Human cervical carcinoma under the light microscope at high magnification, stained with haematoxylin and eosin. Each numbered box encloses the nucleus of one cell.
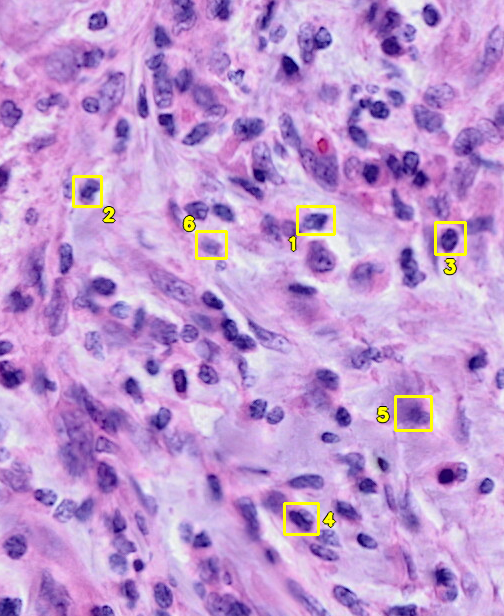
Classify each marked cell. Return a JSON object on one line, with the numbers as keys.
{"1": "lymphocyte", "2": "lymphocyte", "3": "lymphocyte", "4": "lymphocyte", "5": "macrophage or monocyte", "6": "macrophage or monocyte"}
